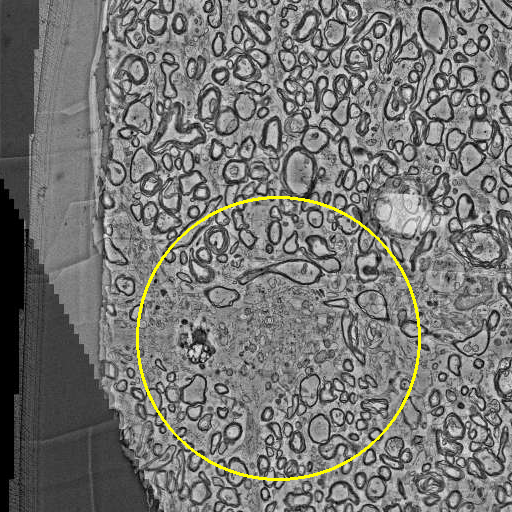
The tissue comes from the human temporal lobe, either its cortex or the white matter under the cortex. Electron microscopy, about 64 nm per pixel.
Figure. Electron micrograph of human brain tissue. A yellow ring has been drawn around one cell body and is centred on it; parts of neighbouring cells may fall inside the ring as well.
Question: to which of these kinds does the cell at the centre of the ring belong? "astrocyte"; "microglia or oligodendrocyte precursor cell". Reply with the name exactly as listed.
astrocyte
